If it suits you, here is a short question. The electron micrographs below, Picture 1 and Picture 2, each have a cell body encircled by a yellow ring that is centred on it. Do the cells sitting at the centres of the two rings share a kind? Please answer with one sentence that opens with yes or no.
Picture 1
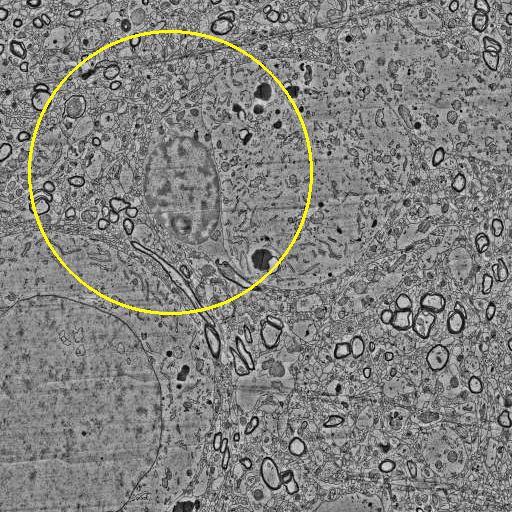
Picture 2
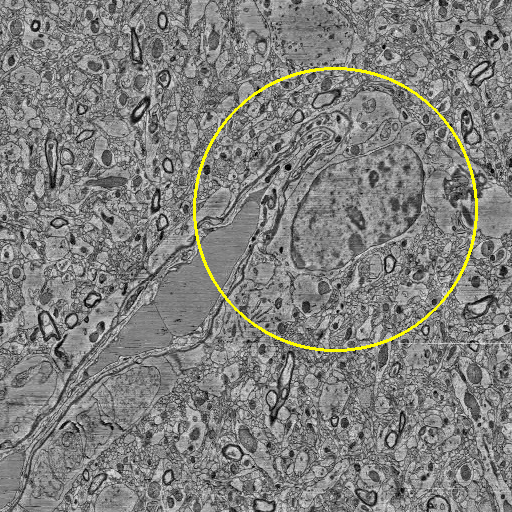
No, the two cells sitting at the ring centres fall into two kinds.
